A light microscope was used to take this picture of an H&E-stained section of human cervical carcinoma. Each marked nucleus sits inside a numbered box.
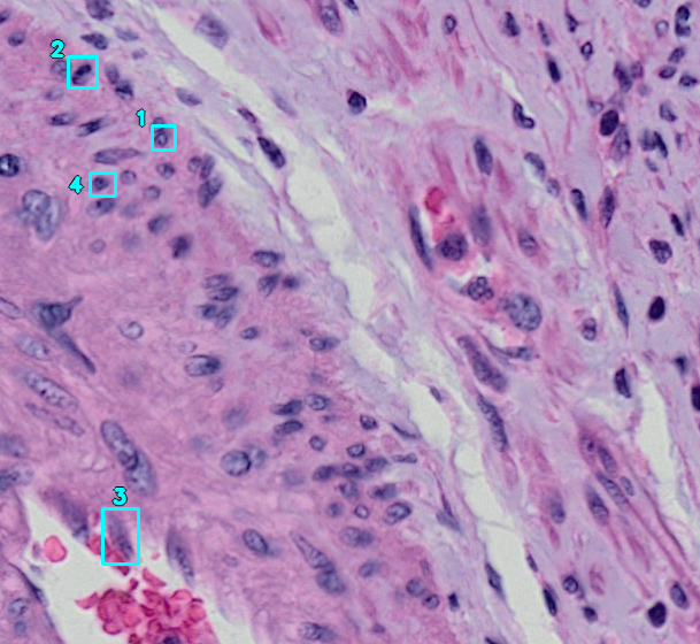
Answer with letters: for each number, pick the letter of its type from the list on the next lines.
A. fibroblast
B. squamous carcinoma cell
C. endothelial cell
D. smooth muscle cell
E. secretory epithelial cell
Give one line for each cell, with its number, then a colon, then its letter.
1: D
2: D
3: C
4: D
